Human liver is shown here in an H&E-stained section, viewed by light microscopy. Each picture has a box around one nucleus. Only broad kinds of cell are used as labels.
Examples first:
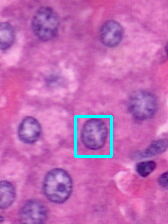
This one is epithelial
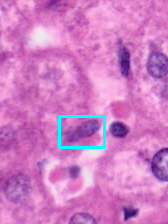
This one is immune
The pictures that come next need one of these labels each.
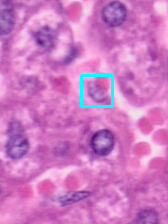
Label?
immune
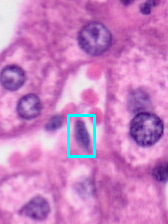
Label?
immune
